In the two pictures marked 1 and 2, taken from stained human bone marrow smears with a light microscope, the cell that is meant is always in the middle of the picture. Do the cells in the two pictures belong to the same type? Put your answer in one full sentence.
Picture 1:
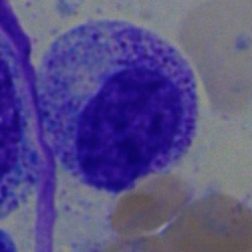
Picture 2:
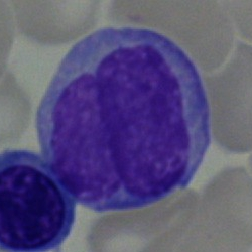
No, picture 1 shows a myelocyte and picture 2 shows a monocyte.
